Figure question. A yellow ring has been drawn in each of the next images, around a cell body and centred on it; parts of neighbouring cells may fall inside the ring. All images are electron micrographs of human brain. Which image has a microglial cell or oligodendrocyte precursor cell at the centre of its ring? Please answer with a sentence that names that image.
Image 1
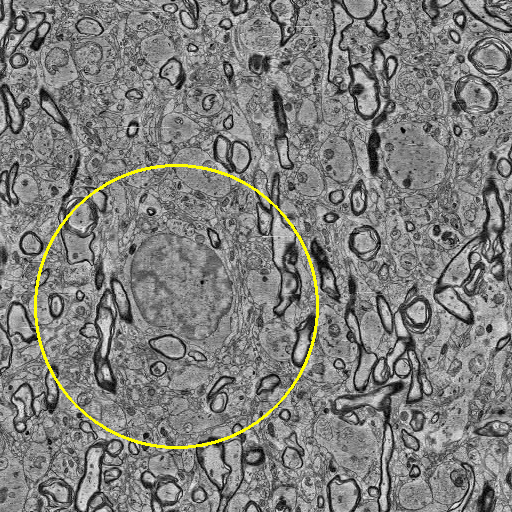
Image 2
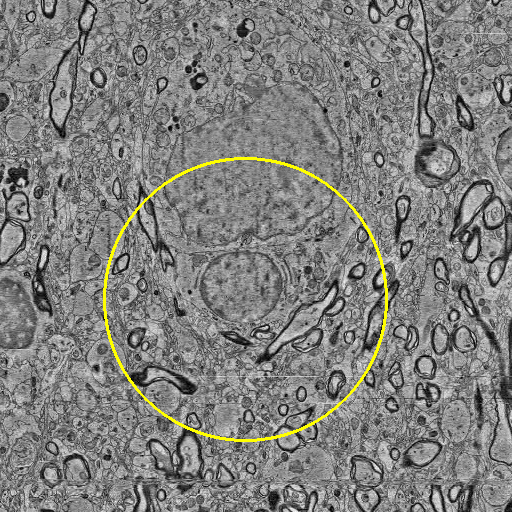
The cell at the centre of the ring in Image 2 is of that kind.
